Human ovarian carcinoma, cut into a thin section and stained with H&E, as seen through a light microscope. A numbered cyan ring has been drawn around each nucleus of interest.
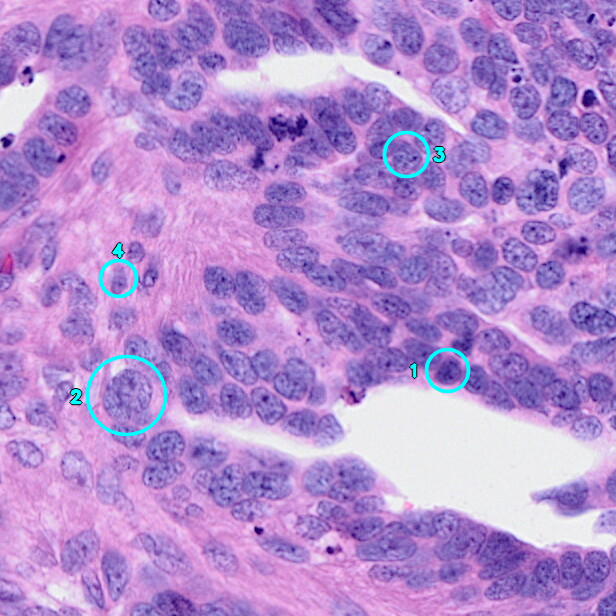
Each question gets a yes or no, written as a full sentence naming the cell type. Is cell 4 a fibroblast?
Yes, cell number 4 is identified here as a fibroblast.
